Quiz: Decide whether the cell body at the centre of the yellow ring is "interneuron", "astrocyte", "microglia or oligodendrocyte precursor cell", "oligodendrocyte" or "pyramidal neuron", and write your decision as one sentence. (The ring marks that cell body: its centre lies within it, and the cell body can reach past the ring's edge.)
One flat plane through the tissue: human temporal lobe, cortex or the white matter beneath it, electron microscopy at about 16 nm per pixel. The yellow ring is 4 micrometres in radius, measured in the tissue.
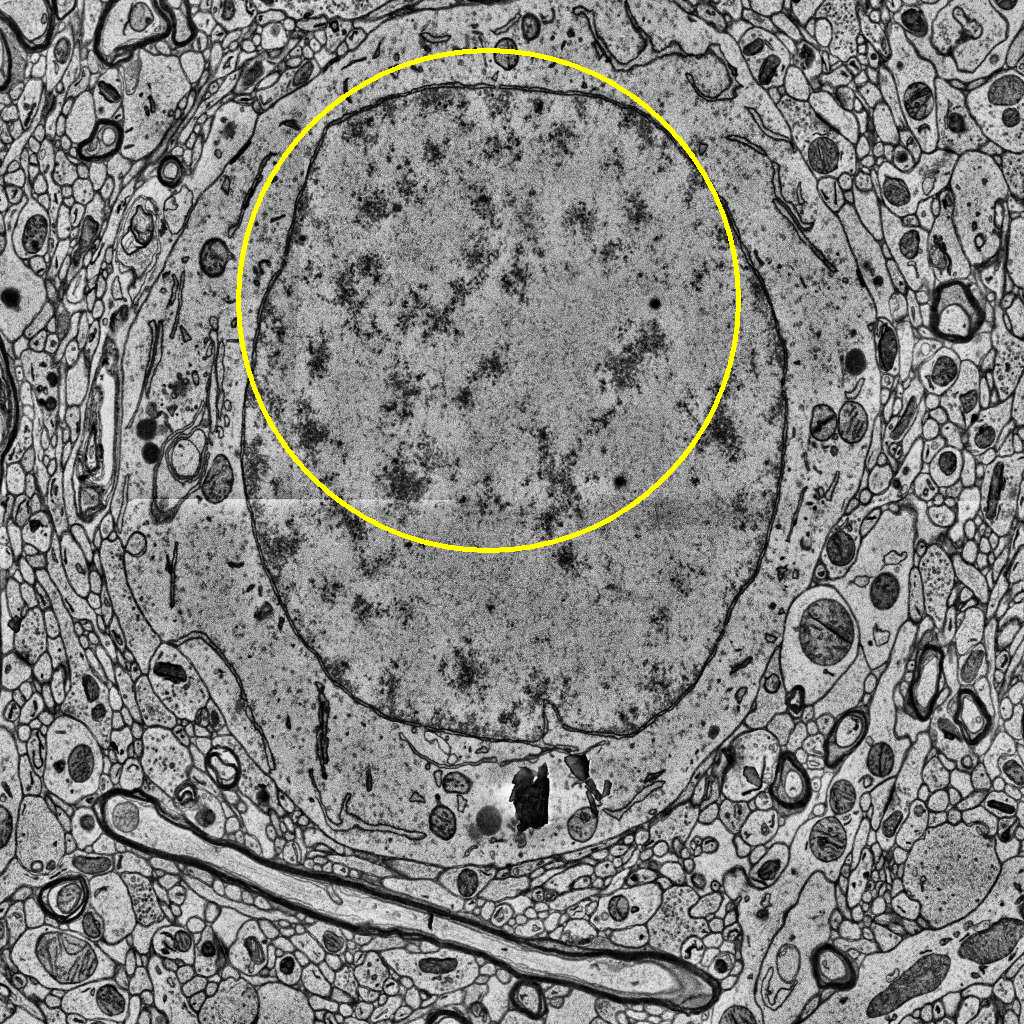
The cell holding the ring's centre is a pyramidal neuron.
